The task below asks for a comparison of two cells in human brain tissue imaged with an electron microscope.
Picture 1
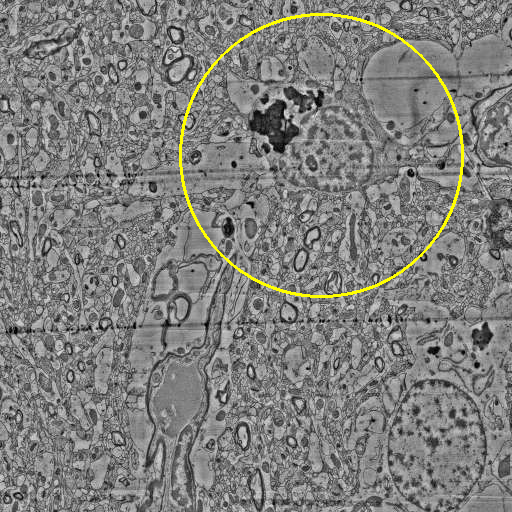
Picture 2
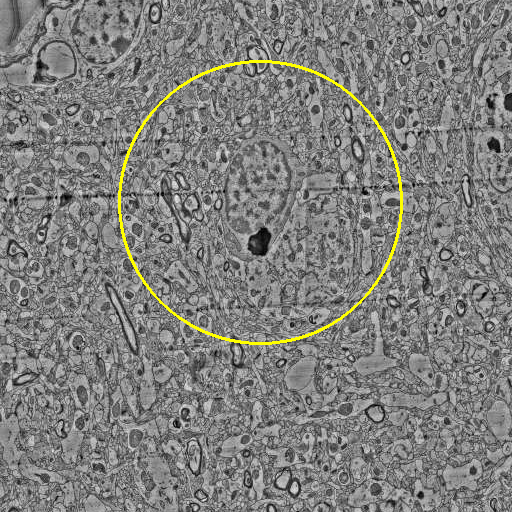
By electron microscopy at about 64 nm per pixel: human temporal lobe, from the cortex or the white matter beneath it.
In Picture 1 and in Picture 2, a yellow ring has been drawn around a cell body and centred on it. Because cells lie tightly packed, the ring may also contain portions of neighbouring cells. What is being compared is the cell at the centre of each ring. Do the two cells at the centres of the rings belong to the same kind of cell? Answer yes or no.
yes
